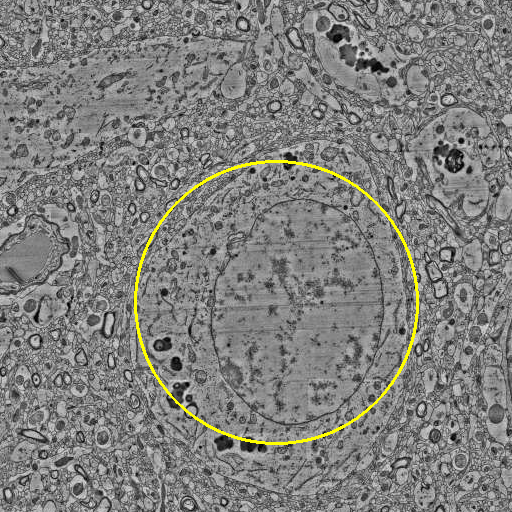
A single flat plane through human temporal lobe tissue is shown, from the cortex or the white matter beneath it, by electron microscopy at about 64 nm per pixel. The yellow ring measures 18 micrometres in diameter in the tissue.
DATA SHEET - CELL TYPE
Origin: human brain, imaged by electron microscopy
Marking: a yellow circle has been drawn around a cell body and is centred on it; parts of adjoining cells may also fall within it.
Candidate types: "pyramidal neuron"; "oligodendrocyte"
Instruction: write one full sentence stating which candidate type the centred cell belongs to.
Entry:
The cell body at the centre of the yellow ring in this micrograph belongs to a pyramidal neuron.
